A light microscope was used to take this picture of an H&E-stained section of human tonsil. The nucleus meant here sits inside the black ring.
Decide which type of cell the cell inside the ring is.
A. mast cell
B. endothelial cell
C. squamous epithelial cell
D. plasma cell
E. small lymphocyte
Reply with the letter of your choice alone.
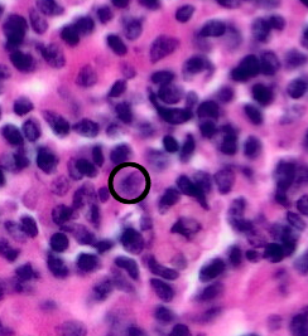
B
